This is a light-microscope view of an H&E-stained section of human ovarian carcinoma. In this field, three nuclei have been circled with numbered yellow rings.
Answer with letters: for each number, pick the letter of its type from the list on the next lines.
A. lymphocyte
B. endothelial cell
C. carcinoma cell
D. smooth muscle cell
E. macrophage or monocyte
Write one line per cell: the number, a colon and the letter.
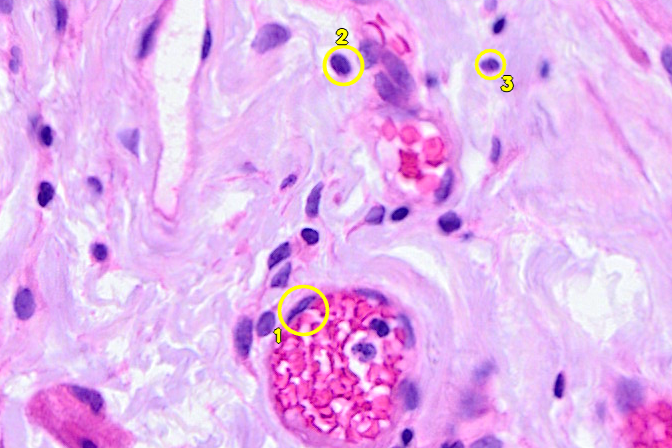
1: B
2: A
3: A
